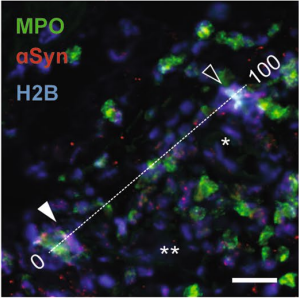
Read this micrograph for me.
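Many small round to oval blue nuclei are packed densely across the field, and numerous cells carry bright green granular cytoplasm, scattered singly and in clusters. Small red dots lie among them, some overlapping green cells. At two places, one at the lower left and one at the upper right, blue material is spread out in broad, smeared, bright patches instead of compact nuclei, with green and red signal mixed into them, forming whitish areas.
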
